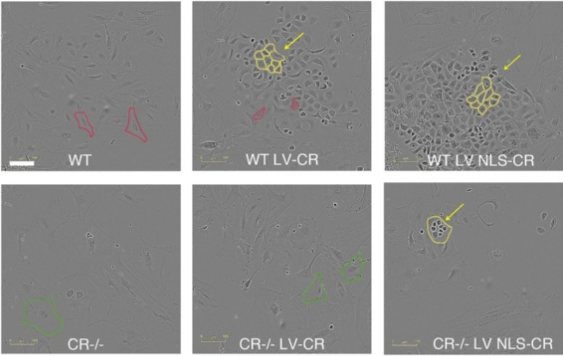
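In some fields the cells are large, flat and spread, with irregular outlines that are hard to make out. In others, small polygonal cells sit packed tightly together in a cobblestone-like patch.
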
